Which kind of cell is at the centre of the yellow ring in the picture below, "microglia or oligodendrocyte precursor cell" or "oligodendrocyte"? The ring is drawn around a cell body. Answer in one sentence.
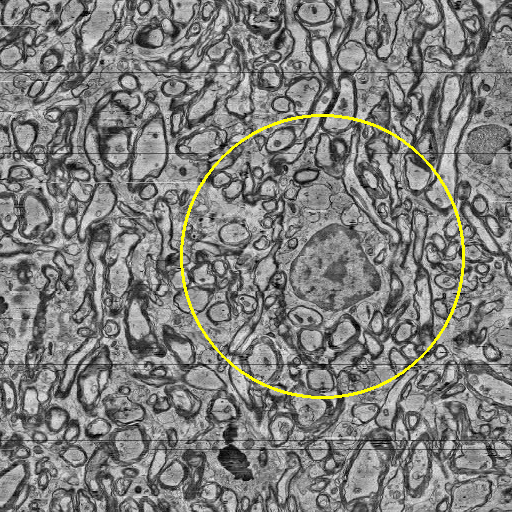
The ring's central cell is a microglial cell or oligodendrocyte precursor cell.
